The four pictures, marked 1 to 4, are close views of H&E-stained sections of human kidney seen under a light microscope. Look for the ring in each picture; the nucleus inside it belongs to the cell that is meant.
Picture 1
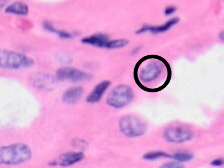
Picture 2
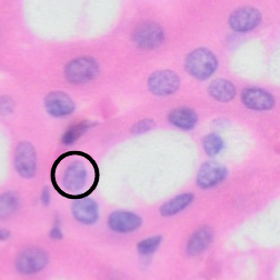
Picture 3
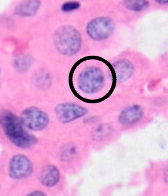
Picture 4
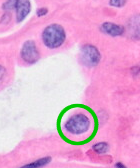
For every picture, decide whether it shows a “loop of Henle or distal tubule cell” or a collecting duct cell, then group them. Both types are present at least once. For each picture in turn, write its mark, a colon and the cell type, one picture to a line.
1: loop of Henle or distal tubule cell
2: collecting duct cell
3: loop of Henle or distal tubule cell
4: loop of Henle or distal tubule cell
